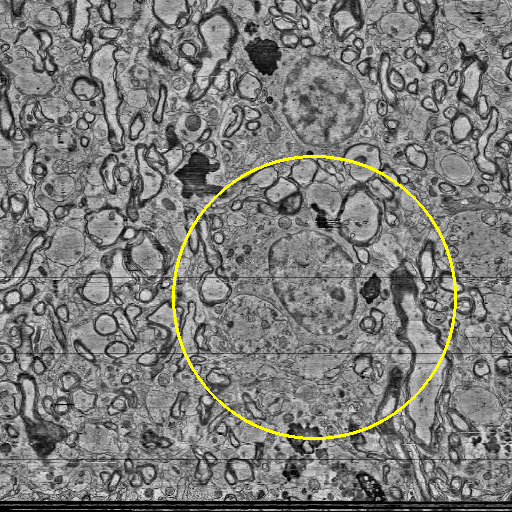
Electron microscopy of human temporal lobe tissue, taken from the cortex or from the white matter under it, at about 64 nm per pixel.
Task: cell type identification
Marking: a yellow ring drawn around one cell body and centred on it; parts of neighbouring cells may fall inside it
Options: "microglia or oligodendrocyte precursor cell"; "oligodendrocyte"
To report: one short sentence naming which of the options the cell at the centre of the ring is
The cell at the centre of the ring is an oligodendrocyte.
